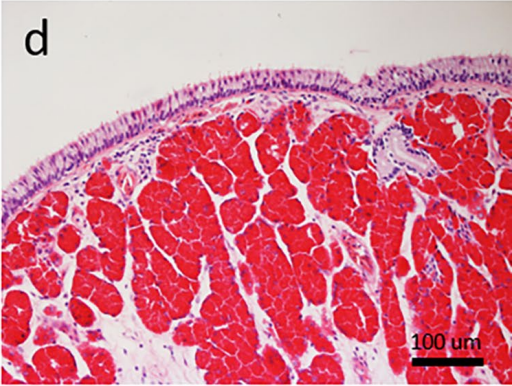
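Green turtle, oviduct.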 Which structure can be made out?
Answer: Eosinophilic glands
